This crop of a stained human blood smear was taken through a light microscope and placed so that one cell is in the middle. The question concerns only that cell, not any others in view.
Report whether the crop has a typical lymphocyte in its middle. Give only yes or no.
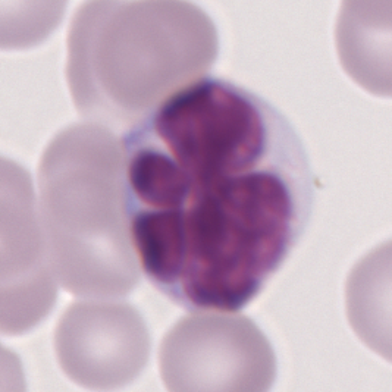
no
